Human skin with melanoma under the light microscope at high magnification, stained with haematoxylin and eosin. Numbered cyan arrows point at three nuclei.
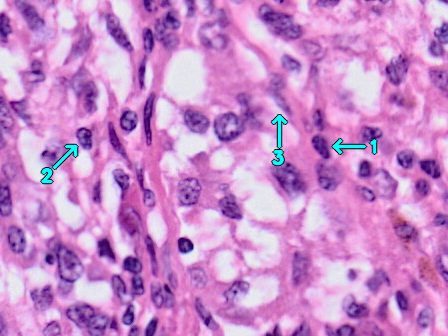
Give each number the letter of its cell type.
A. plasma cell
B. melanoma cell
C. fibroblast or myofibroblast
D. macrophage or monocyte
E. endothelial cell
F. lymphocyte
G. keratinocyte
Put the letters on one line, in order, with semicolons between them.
F; F; C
